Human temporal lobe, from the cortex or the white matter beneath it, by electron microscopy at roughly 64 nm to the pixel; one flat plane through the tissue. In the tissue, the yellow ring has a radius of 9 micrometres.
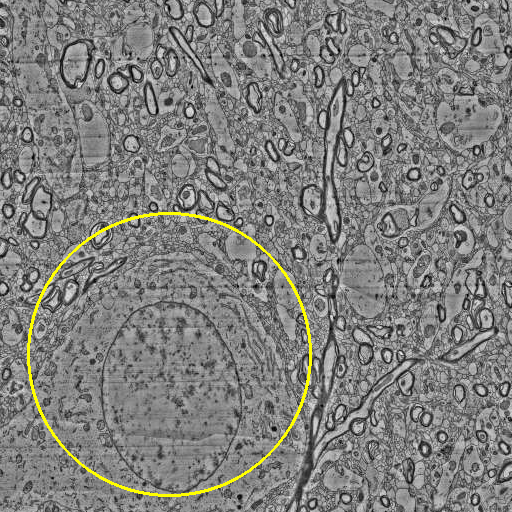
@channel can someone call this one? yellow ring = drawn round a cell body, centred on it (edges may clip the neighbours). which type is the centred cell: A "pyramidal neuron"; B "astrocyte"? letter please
A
